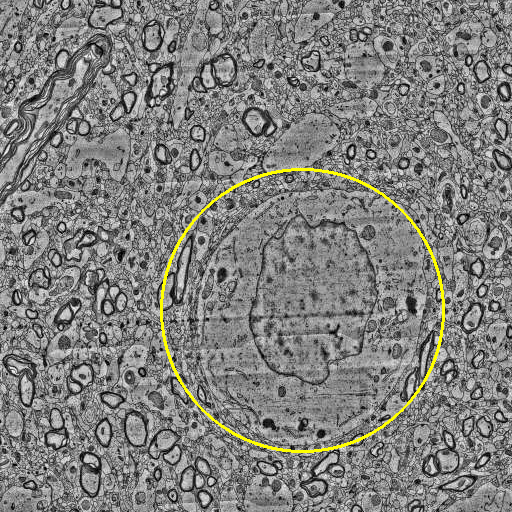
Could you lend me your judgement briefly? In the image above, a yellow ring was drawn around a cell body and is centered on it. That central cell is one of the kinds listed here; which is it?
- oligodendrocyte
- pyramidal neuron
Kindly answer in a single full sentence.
Going by the list, a pyramidal neuron is the kind at the ring's center in the picture.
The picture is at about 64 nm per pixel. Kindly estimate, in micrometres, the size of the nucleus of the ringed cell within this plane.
The nucleus comes to roughly 10 by 8 micrometres in this plane.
